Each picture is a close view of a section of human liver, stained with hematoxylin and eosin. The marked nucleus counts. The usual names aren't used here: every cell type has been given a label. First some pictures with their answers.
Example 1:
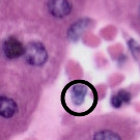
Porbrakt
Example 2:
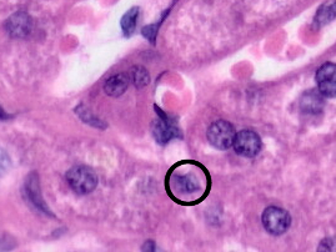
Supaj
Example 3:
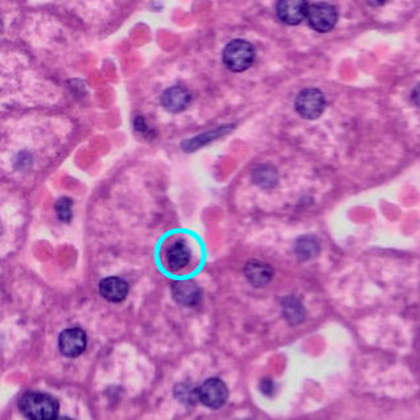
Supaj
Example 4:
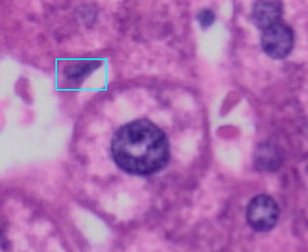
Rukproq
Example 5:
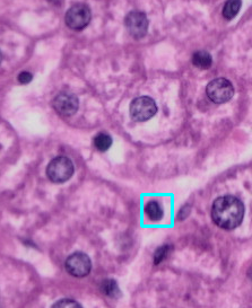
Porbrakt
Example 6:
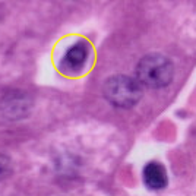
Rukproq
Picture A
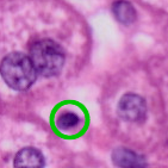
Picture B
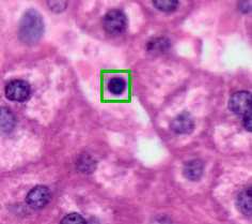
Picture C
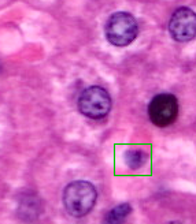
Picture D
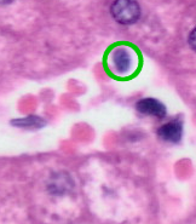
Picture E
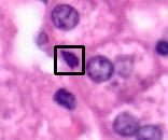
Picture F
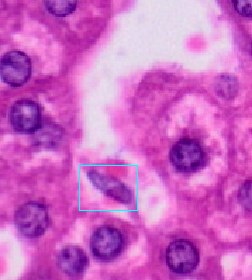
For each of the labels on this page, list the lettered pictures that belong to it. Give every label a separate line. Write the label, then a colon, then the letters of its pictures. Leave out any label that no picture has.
Porbrakt: A, B, C, D
Supaj: E
Rukproq: F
